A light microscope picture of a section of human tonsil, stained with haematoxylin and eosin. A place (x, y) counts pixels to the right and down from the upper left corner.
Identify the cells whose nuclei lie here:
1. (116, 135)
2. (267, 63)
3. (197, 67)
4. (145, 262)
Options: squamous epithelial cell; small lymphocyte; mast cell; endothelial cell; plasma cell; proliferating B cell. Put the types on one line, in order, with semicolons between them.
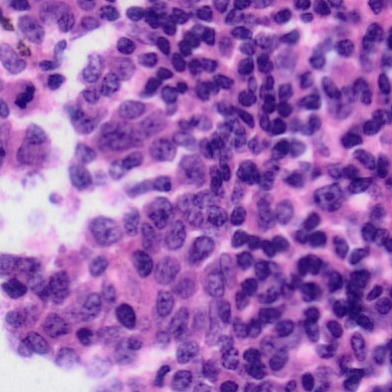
proliferating B cell; small lymphocyte; small lymphocyte; proliferating B cell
